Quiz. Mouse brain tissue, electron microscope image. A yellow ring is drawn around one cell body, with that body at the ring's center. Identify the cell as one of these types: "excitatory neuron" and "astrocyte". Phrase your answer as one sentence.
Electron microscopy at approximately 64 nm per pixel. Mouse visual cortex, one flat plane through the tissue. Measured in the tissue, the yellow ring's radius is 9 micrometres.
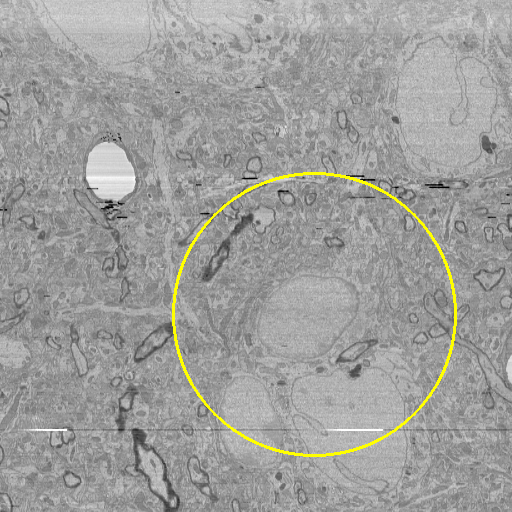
At the center of the ring sits an astrocyte.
